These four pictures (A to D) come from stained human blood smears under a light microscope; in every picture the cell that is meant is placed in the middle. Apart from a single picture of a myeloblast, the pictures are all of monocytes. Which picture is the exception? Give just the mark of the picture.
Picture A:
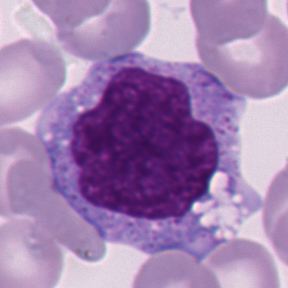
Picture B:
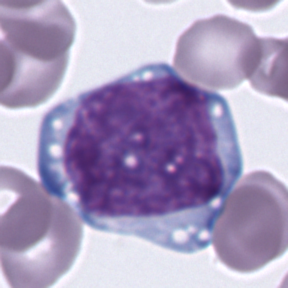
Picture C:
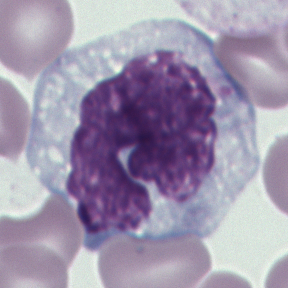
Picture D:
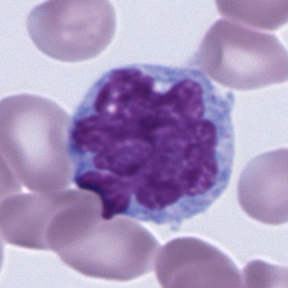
B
